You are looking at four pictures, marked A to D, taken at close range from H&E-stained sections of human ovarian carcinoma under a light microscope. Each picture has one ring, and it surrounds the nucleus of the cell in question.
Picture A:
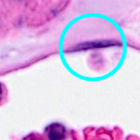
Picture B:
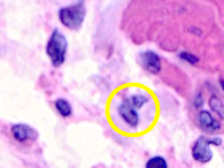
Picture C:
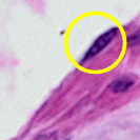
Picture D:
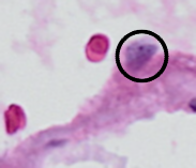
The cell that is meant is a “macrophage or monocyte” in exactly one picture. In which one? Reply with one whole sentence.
Picture B shows the “macrophage or monocyte”.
